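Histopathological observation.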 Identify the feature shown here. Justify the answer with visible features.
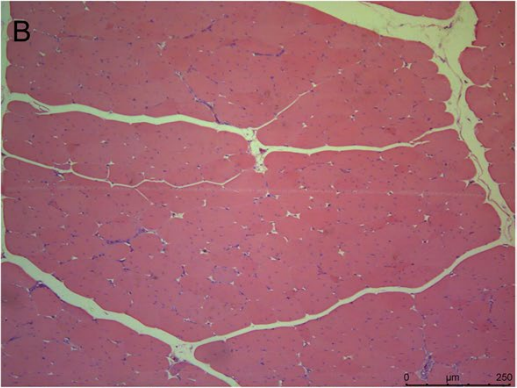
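Well-organized myofibers. Pink muscle fibers are tightly packed with only thin clefts between them. Fibers are grouped into fascicles separated by pale septa. Small dark nuclei lie at the fiber edges.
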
